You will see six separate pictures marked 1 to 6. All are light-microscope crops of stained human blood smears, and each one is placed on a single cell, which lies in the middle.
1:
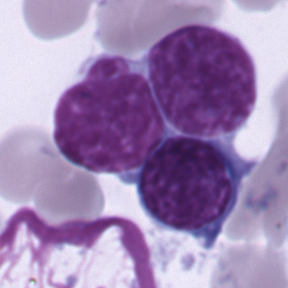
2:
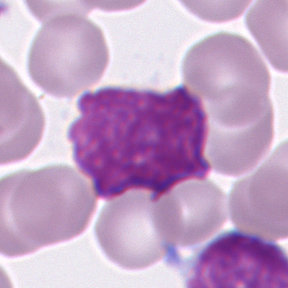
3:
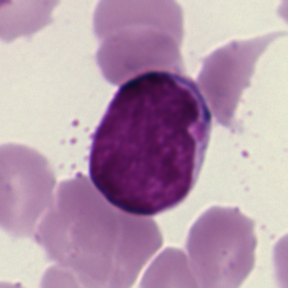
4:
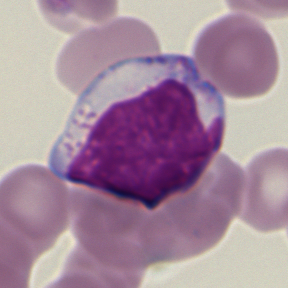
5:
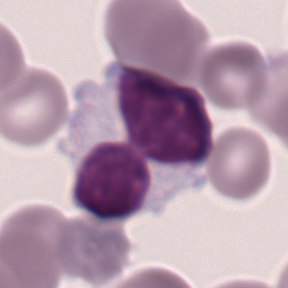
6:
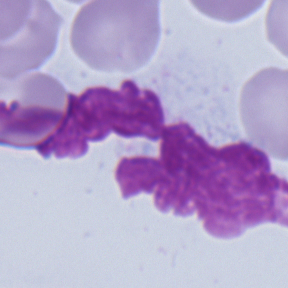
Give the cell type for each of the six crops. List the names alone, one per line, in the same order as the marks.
myeloblast
smudge cell
myeloblast
large granular lymphocyte
large granular lymphocyte
smudge cell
